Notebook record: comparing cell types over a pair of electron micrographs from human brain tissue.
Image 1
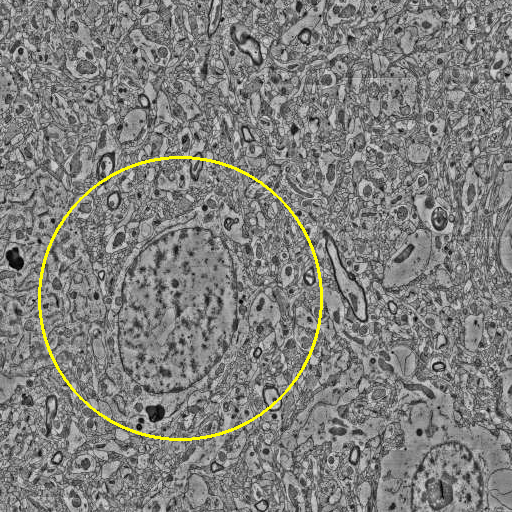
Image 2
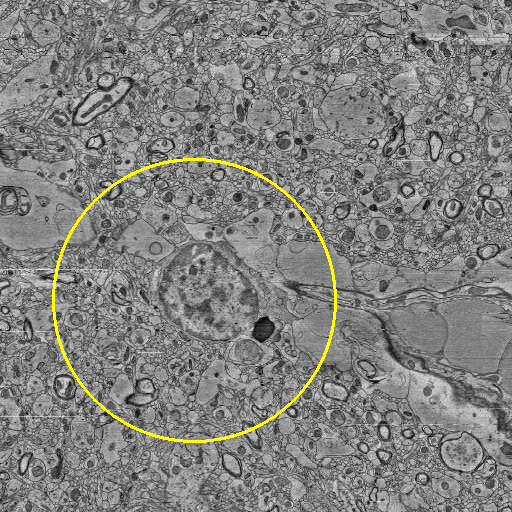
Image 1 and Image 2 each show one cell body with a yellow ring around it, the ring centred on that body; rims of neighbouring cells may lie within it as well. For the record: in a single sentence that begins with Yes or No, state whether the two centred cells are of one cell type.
No, two cell types are found among the centred cells of Image 1 and Image 2.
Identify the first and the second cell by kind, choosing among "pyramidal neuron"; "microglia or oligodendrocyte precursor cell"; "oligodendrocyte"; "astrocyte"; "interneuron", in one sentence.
The one in the first picture is an interneuron, while the one in the second is an oligodendrocyte.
